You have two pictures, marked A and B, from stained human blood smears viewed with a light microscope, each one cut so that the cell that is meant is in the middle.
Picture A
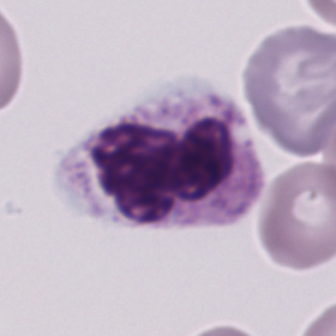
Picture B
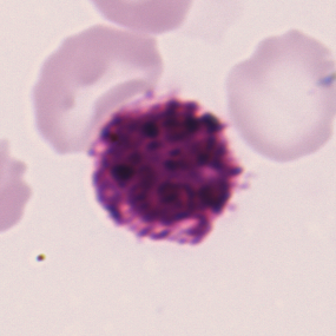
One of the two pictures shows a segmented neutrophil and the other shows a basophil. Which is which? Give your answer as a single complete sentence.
It is picture A that shows a segmented neutrophil, and picture B that shows a basophil.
